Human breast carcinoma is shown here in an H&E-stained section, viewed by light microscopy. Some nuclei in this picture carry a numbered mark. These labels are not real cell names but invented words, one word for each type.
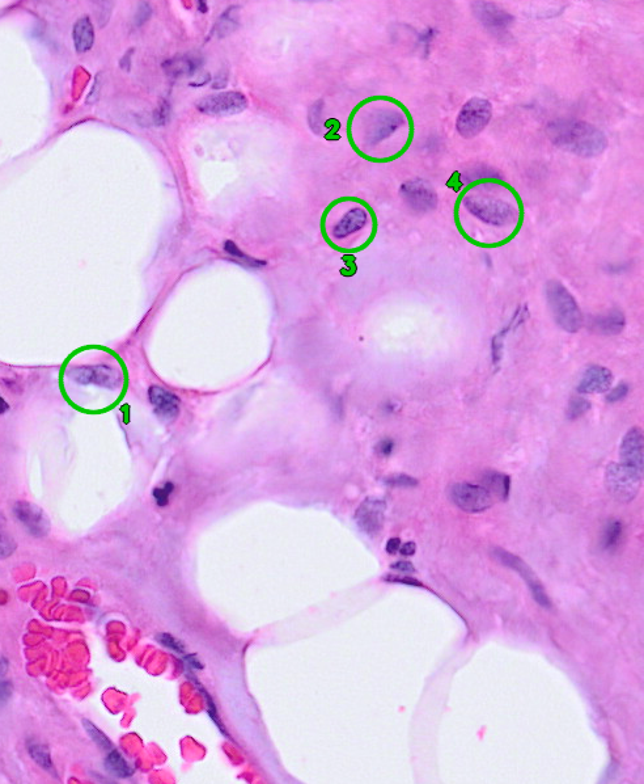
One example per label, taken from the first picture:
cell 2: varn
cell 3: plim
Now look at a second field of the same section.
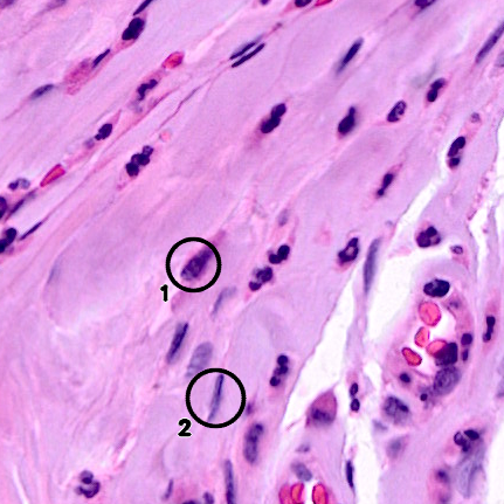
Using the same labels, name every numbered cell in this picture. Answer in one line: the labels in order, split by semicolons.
plim; varn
